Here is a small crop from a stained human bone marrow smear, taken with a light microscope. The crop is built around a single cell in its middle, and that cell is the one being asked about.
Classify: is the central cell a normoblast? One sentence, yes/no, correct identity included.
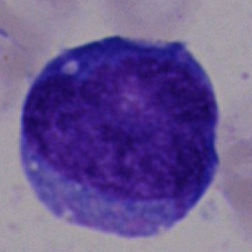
No, in this crop the middle cell is a blast, not a normoblast.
